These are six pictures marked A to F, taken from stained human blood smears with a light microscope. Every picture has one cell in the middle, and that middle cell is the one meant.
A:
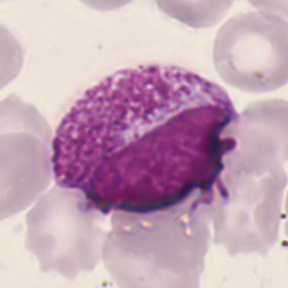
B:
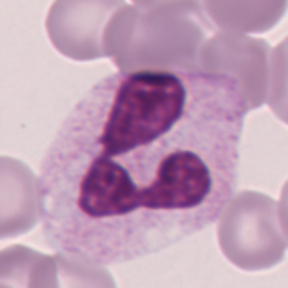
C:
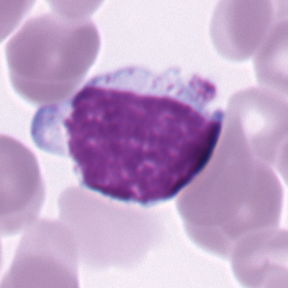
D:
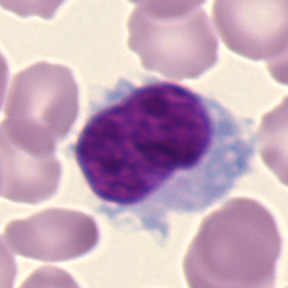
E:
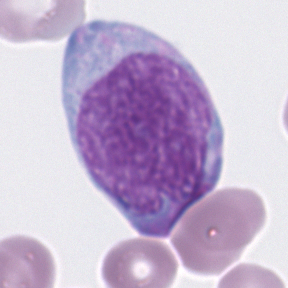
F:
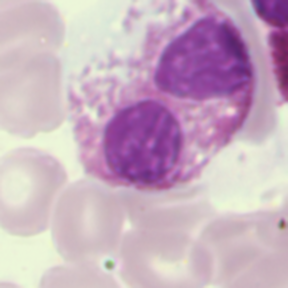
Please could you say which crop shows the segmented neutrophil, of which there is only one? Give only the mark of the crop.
B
